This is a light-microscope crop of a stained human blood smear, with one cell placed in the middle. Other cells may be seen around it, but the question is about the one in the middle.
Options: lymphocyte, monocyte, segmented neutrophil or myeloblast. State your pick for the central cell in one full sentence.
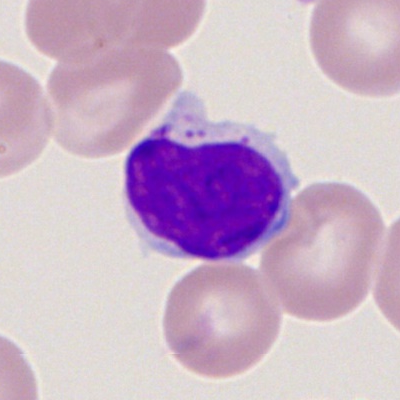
For this crop, the cell in the middle is a lymphocyte.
